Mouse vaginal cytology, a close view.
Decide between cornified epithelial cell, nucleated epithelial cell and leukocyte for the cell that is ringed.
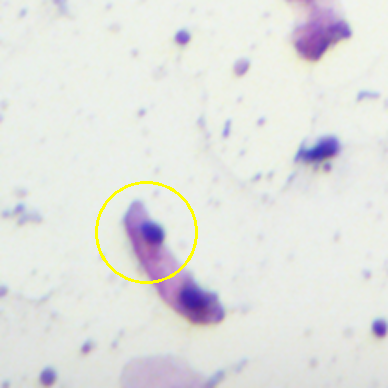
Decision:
I take the ringed cell for a nucleated epithelial cell.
